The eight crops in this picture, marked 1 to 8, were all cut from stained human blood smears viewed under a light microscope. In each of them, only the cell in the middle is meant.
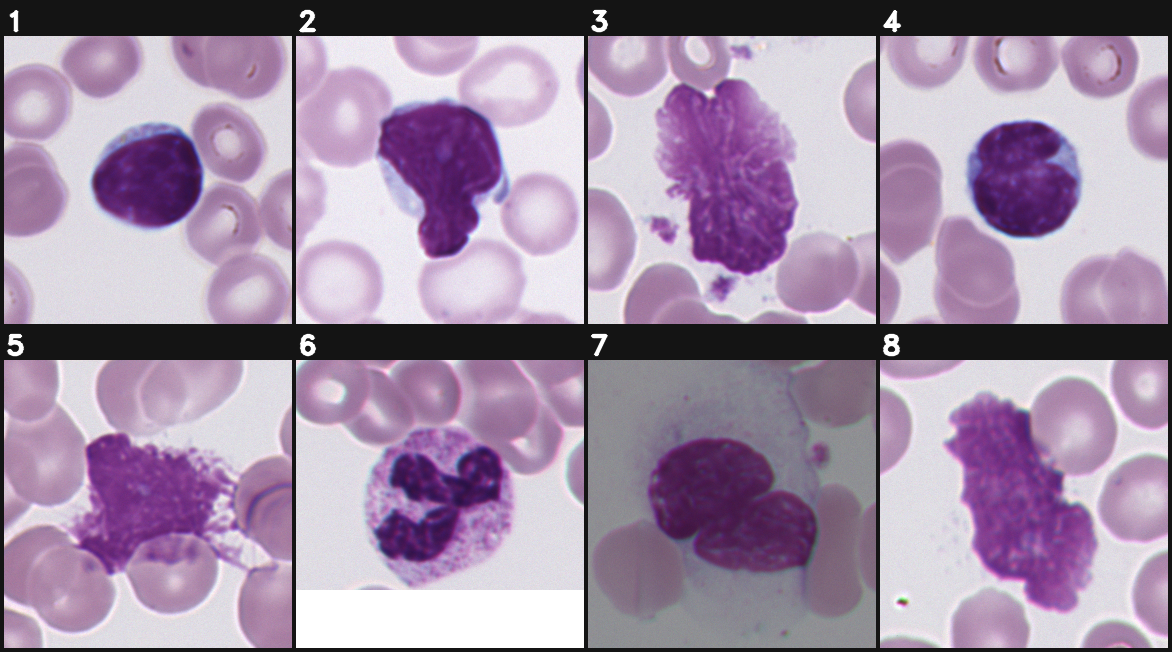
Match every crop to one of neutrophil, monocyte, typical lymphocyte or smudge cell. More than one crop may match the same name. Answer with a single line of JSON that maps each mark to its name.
{"1": "typical lymphocyte", "2": "typical lymphocyte", "3": "smudge cell", "4": "typical lymphocyte", "5": "smudge cell", "6": "neutrophil", "7": "monocyte", "8": "smudge cell"}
